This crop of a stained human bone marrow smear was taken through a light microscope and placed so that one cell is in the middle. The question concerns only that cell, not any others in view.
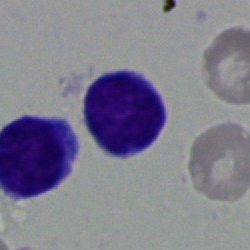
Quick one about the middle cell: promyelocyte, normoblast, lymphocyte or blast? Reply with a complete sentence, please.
Framed in the middle of the crop is a lymphocyte.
